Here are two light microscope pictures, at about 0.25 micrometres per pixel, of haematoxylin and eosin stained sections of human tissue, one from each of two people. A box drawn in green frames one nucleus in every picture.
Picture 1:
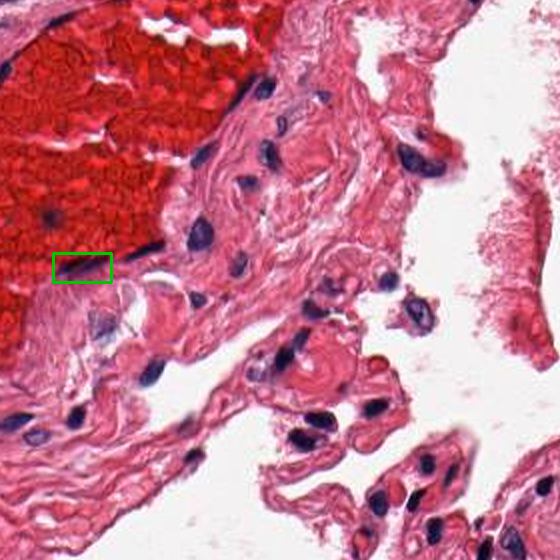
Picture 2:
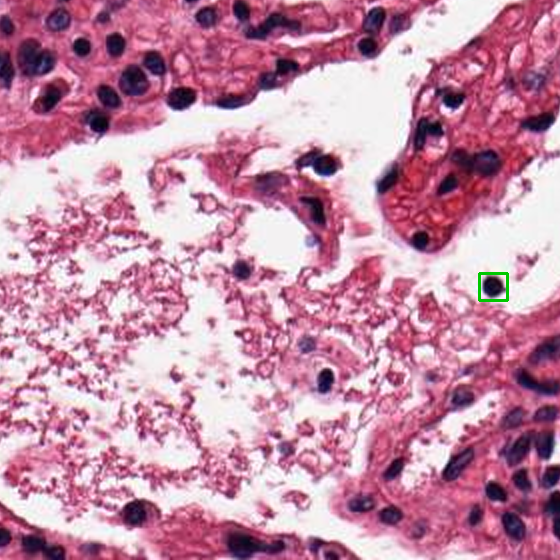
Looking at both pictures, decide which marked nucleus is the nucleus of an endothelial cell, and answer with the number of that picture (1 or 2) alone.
1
